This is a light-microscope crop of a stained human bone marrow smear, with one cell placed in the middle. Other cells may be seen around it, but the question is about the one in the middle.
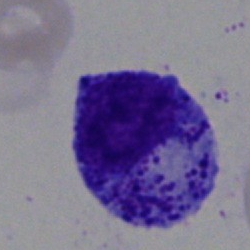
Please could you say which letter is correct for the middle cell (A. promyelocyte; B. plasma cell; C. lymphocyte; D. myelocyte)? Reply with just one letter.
A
